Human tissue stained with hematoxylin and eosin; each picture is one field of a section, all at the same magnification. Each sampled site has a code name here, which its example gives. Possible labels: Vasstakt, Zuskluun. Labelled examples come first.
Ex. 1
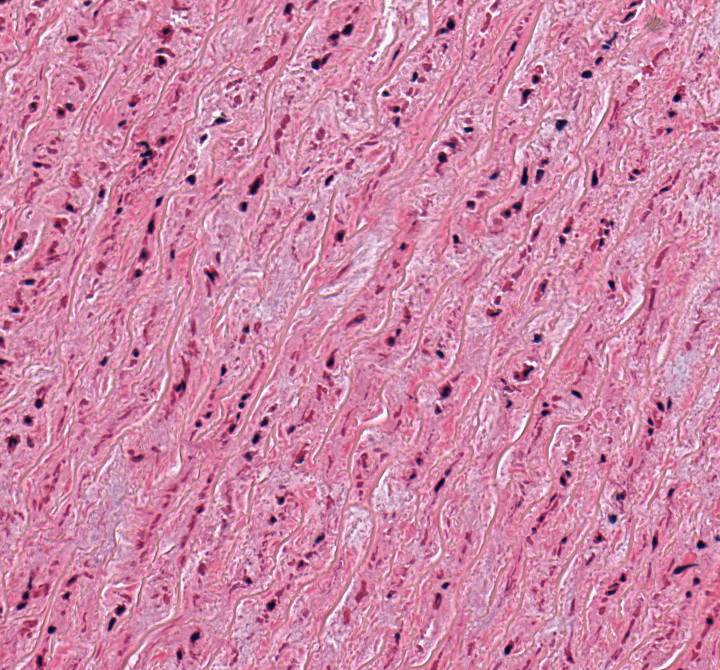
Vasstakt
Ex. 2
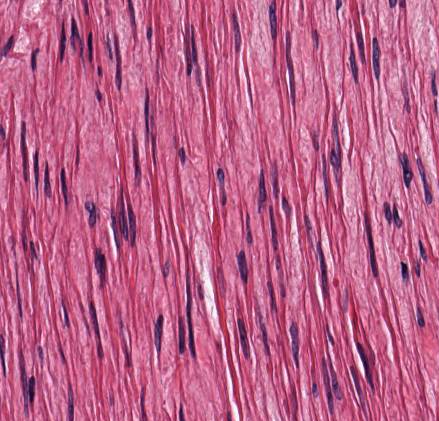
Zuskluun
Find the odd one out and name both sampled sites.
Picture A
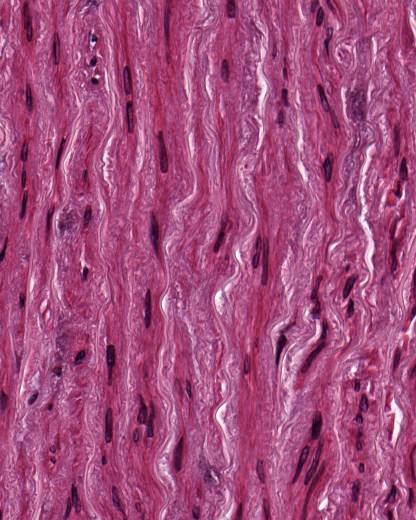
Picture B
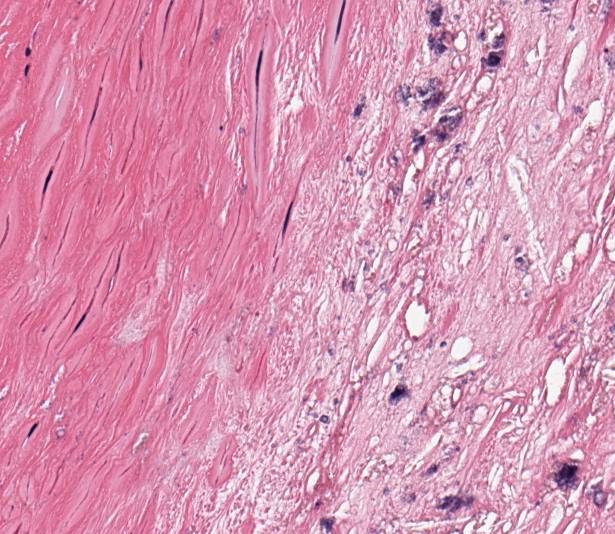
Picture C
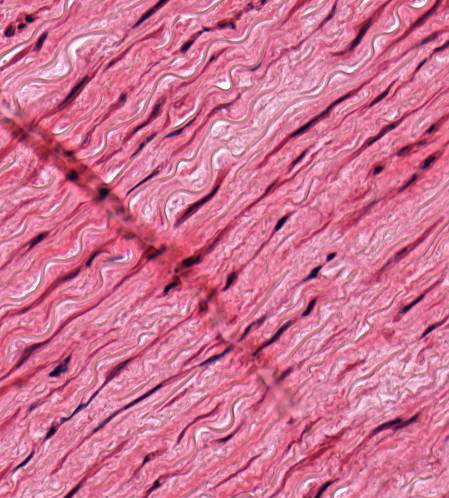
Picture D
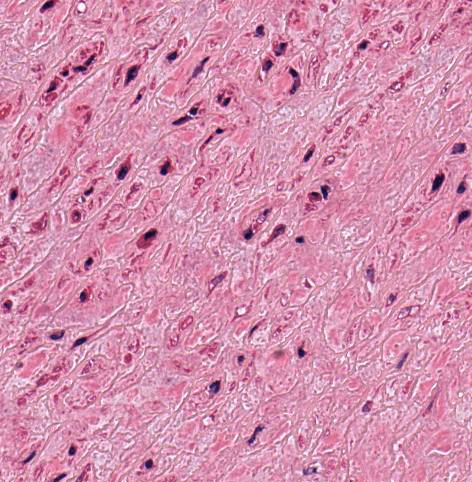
B (Zuskluun) is the exception; every other picture is Vasstakt.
